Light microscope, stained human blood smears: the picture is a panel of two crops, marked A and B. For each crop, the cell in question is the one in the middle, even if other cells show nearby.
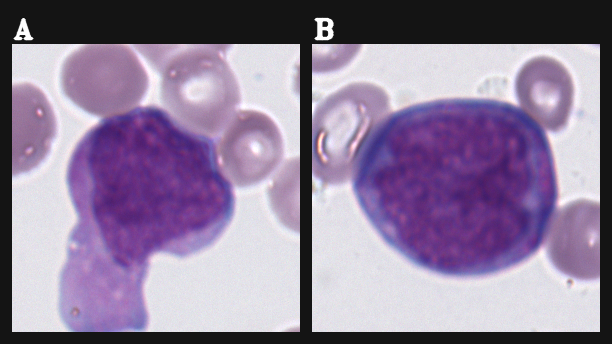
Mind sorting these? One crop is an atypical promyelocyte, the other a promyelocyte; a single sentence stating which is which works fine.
Identified in crop A is an atypical promyelocyte, with a promyelocyte identified in crop B.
